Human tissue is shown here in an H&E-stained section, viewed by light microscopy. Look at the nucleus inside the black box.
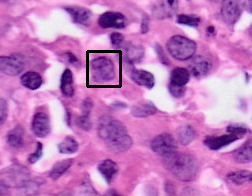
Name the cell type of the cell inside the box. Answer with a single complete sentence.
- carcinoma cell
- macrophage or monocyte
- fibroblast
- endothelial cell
Just put down that the cell inside the box is a macrophage or monocyte.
